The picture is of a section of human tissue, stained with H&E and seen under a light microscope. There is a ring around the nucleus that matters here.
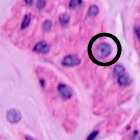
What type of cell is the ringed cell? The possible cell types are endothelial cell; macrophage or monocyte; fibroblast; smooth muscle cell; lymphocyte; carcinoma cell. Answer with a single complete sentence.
The identity of the ringed cell is that of a smooth muscle cell.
